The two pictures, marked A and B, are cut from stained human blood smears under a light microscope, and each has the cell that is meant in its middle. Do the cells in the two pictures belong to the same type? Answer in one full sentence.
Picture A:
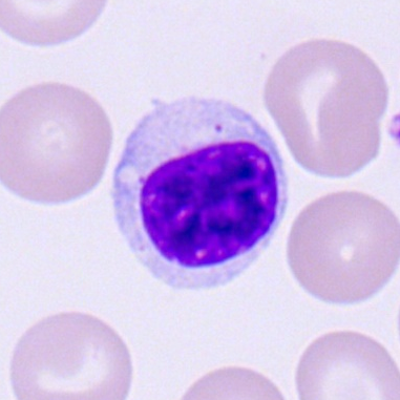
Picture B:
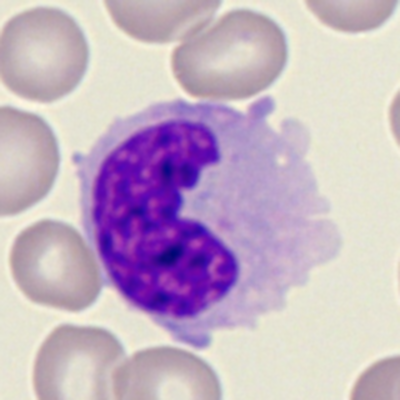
No, picture A shows a lymphocyte and picture B shows a monocyte.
